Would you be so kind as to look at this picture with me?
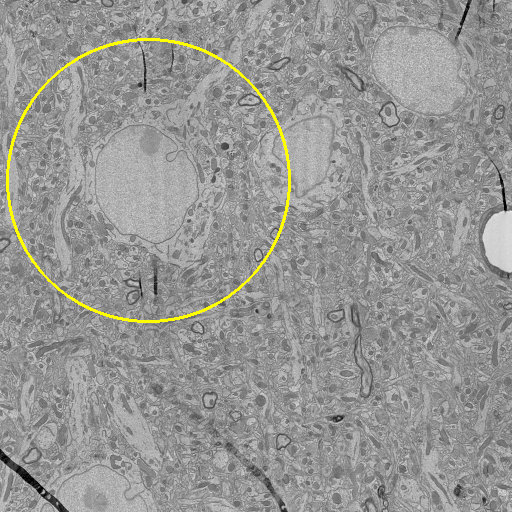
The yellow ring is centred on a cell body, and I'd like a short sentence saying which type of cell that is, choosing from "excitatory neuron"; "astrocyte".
The cell body in the ring belongs to an excitatory neuron.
